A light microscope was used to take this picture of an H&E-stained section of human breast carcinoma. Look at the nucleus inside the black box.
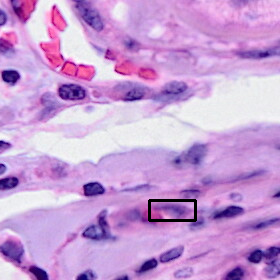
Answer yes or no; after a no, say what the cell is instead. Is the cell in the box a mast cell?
No, it is an endothelial cell.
